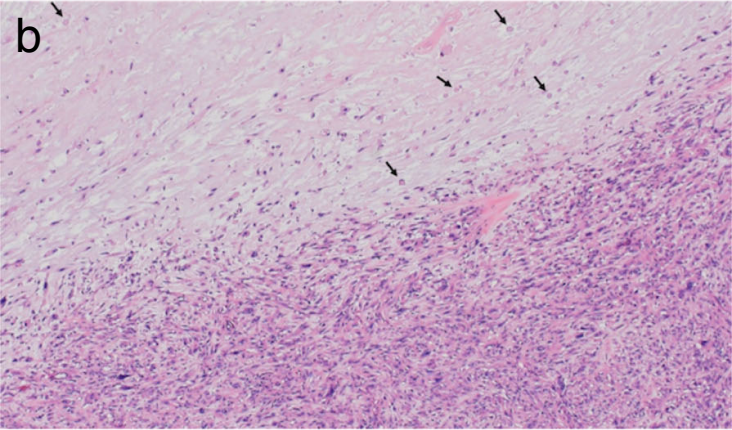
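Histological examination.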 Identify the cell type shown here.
Highly cellular spindle tumor cells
